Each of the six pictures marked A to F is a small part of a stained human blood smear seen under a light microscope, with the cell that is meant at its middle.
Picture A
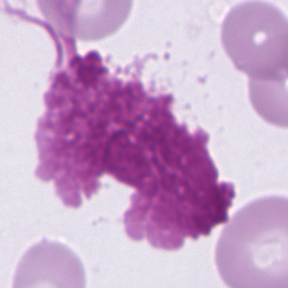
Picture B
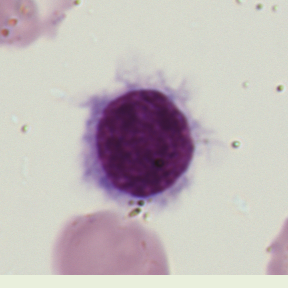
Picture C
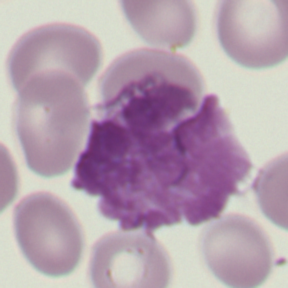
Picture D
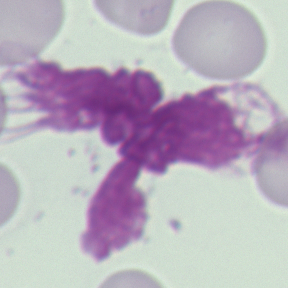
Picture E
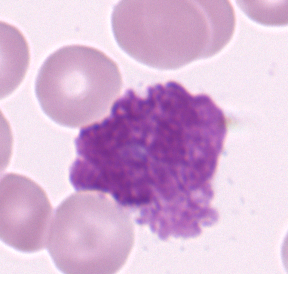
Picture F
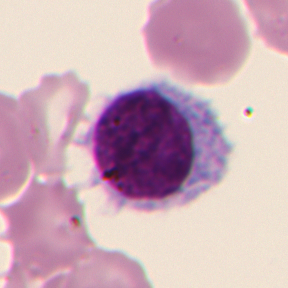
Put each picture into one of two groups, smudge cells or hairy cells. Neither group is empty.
A: smudge cell
B: hairy cell
C: smudge cell
D: smudge cell
E: smudge cell
F: hairy cell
